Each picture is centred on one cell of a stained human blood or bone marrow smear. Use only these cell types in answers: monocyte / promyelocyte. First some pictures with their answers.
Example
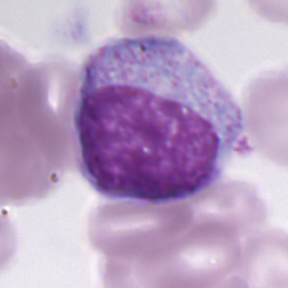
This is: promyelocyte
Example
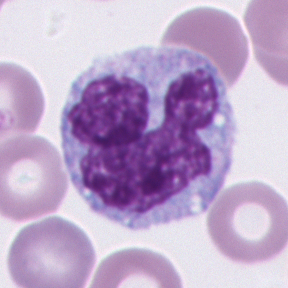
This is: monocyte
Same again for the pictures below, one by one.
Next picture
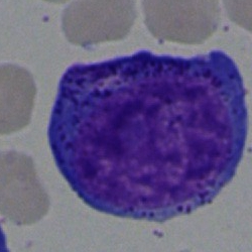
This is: promyelocyte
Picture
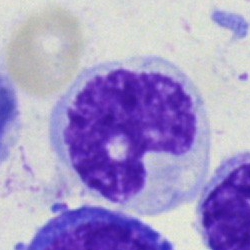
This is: monocyte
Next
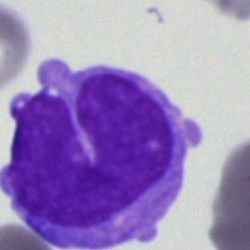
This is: monocyte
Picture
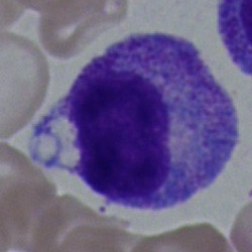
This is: promyelocyte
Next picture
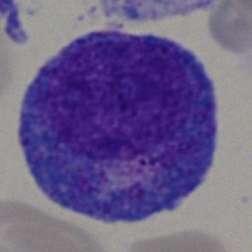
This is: promyelocyte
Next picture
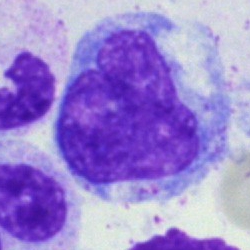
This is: monocyte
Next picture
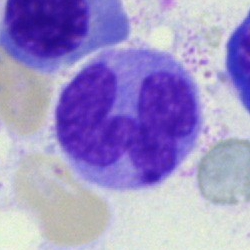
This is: monocyte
